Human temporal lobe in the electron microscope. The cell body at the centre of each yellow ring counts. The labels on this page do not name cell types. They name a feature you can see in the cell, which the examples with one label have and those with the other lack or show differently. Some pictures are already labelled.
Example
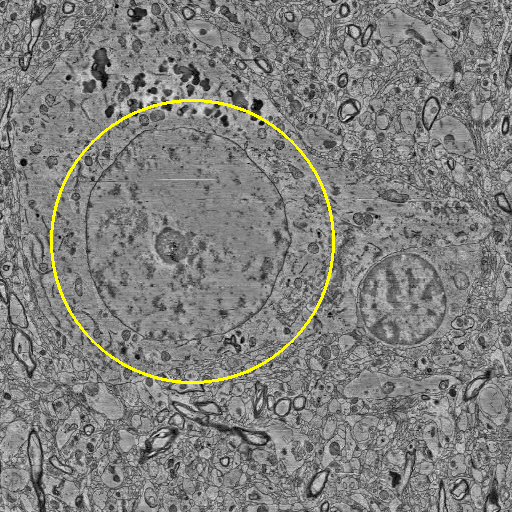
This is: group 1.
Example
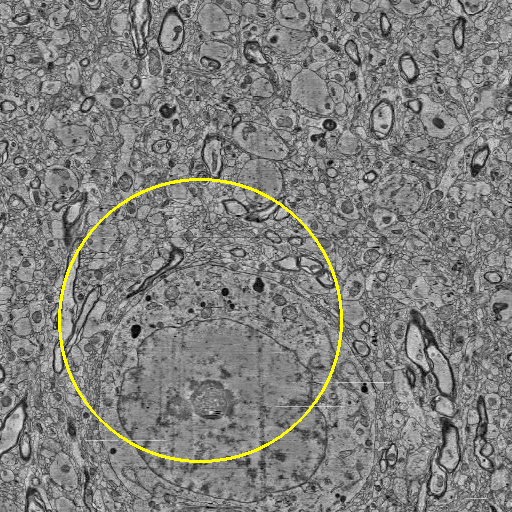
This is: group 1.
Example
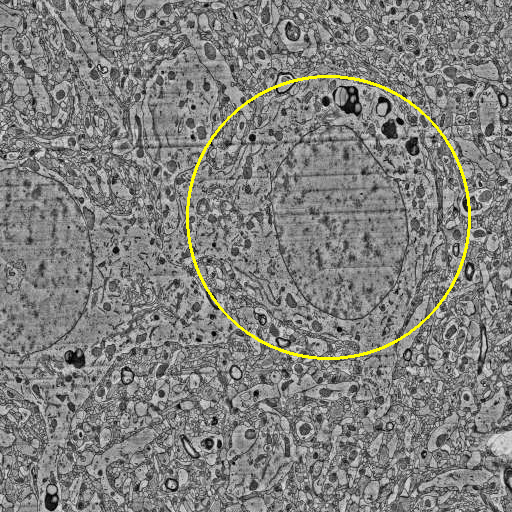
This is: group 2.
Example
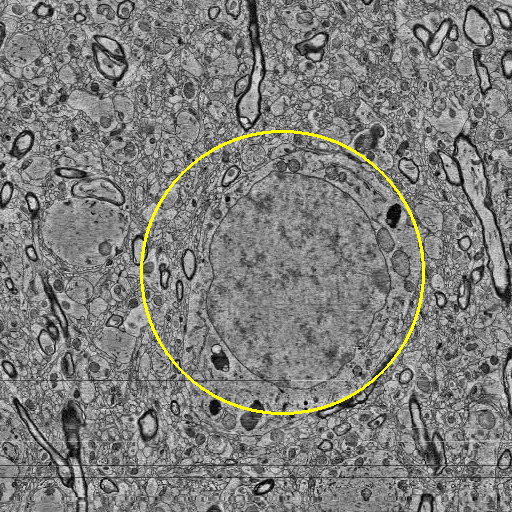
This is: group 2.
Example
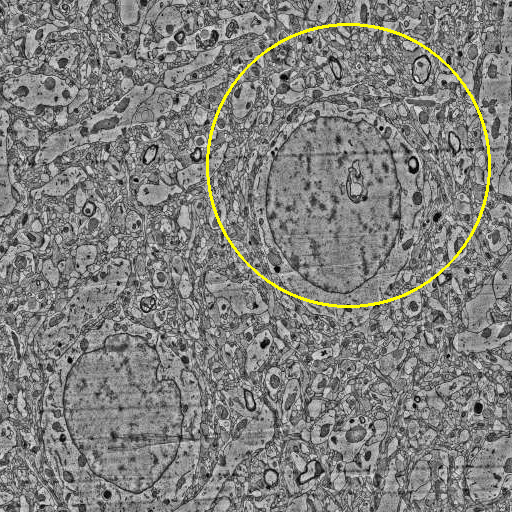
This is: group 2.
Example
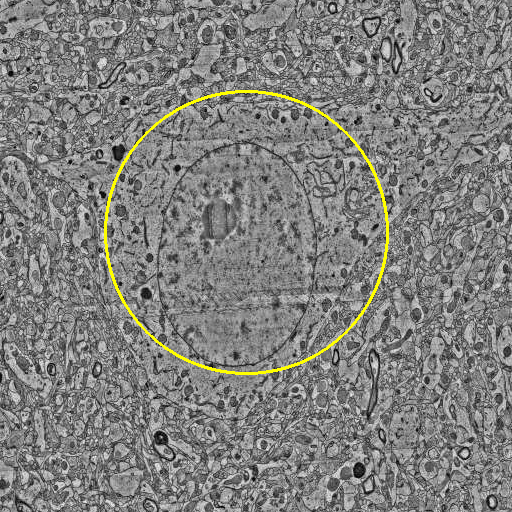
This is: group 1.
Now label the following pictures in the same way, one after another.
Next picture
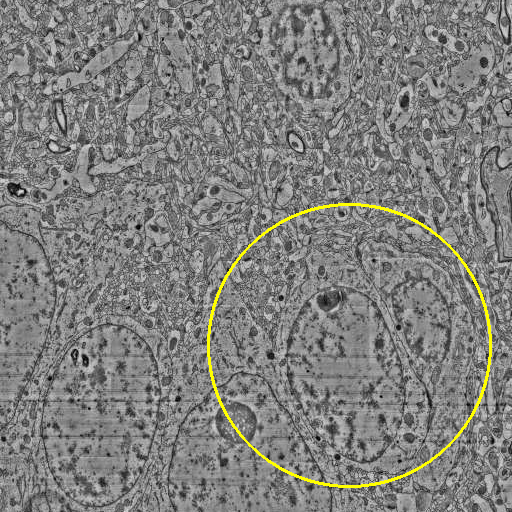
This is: group 1.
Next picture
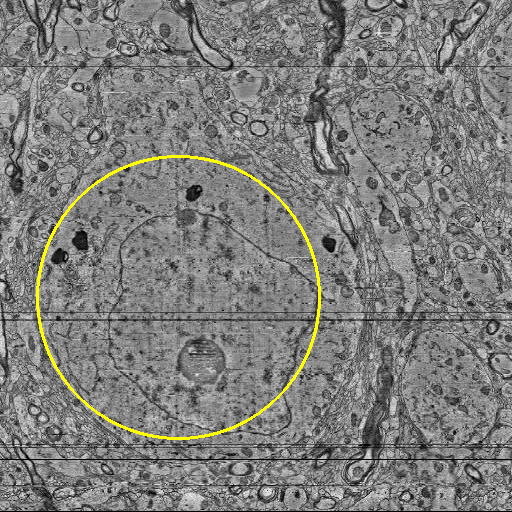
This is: group 1.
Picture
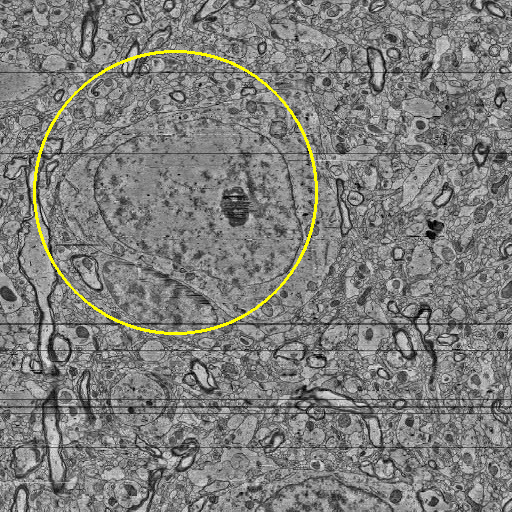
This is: group 1.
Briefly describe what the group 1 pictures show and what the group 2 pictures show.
group 1, nucleolus seen; group 2, no nucleolus seen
